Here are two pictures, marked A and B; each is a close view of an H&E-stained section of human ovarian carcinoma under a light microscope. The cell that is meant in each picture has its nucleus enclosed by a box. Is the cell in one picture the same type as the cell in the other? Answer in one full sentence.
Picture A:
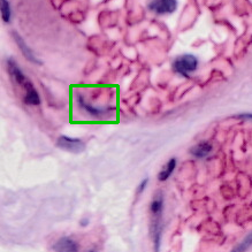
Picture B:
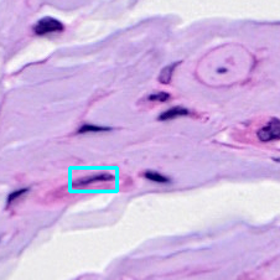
Yes, they are the same type: both are endothelial cells.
